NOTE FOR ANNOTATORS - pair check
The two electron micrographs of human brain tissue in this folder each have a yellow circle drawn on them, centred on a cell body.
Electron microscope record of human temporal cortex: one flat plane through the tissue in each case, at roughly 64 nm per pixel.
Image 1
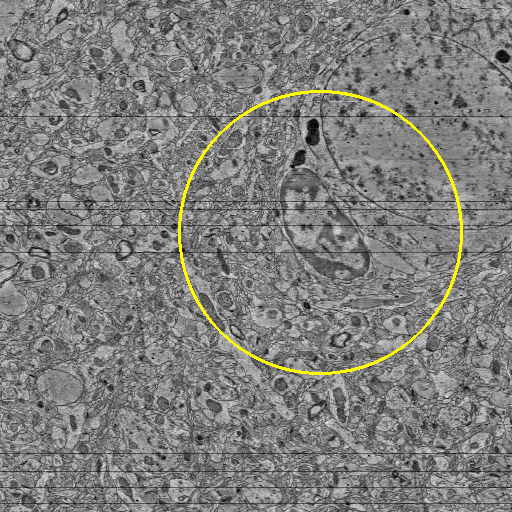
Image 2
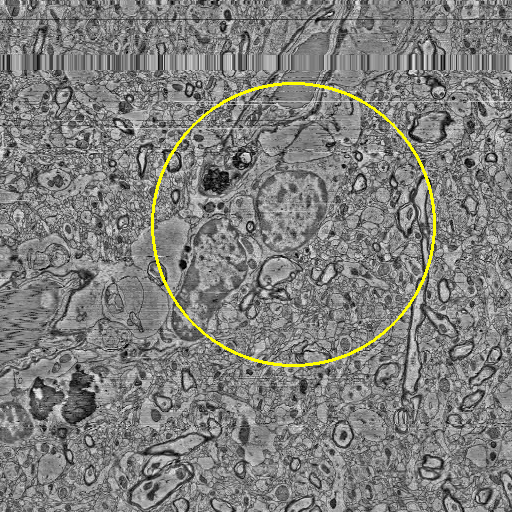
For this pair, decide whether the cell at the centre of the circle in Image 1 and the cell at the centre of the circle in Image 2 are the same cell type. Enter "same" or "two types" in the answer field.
two types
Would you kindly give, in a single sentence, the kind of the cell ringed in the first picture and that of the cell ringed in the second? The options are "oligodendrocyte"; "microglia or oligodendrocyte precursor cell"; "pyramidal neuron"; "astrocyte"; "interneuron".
The second cell is an oligodendrocyte, and the first cell is a microglial cell or oligodendrocyte precursor cell.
